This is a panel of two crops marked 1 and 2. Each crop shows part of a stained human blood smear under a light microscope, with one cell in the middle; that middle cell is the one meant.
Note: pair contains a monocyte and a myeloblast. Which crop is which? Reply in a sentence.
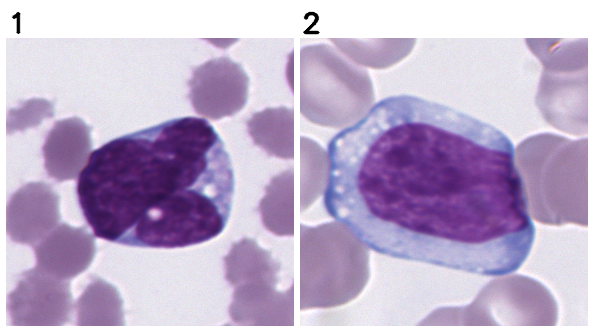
Crop 1 presents a monocyte, and crop 2 presents a myeloblast.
